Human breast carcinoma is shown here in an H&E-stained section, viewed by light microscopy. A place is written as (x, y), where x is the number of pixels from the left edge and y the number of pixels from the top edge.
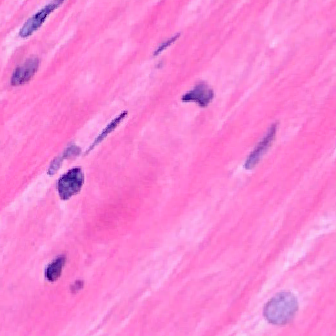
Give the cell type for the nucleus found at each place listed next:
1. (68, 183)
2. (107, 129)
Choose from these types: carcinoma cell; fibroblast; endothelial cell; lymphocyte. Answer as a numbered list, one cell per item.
1. lymphocyte
2. fibroblast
